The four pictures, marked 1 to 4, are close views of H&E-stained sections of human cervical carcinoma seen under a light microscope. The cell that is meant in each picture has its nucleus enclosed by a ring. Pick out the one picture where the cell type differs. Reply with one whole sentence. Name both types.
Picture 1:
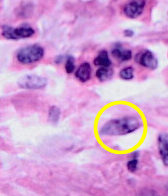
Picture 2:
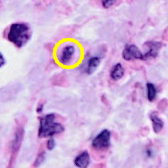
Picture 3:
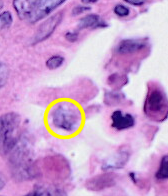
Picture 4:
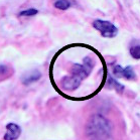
Picture 2 differs, because its cell is a lymphocyte and the rest are “macrophages or monocytes”.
